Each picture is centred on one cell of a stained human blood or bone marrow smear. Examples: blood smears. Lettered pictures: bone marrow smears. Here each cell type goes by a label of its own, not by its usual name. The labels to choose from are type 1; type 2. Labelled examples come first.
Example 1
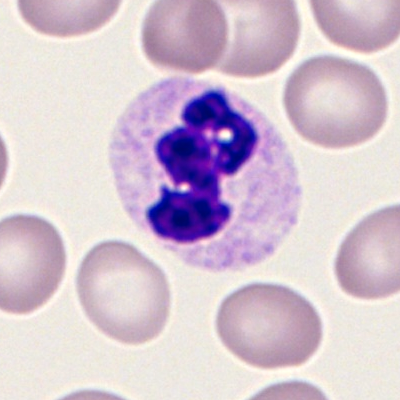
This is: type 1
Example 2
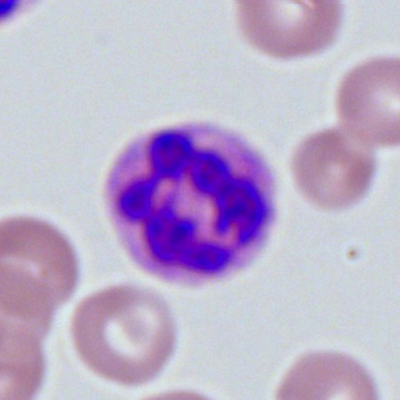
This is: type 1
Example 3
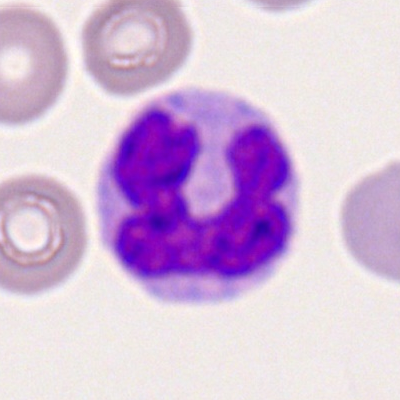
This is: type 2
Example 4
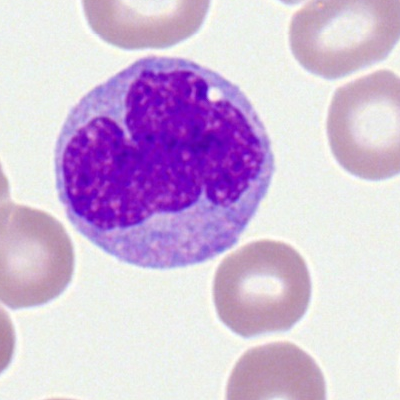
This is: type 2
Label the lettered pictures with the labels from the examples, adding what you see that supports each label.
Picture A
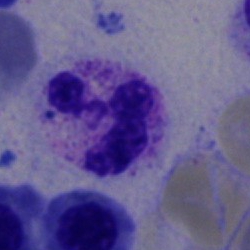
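type 1. Reason: Fine pink-red granules are scattered through the cytoplasm.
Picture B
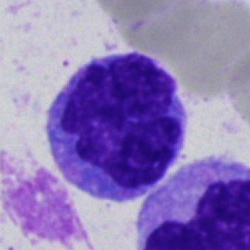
type 2. Reason: The nucleus fills most of the cell.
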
